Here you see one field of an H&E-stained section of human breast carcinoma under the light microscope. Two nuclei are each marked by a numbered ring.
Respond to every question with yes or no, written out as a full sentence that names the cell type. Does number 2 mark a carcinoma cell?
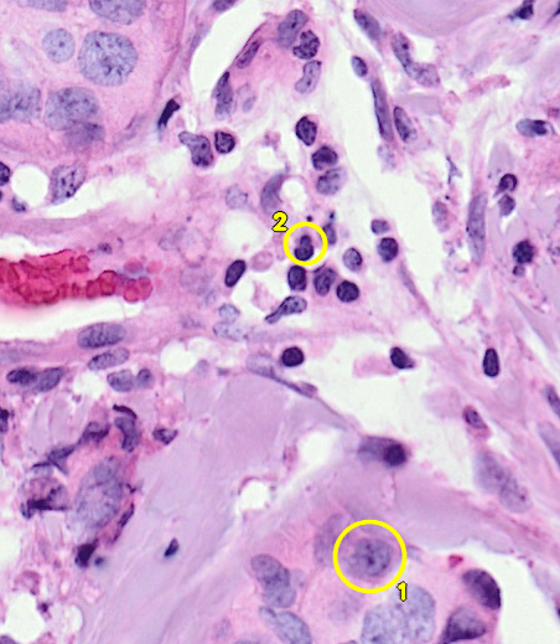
No, the cell carrying number 2 is a lymphocyte, not a carcinoma cell.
